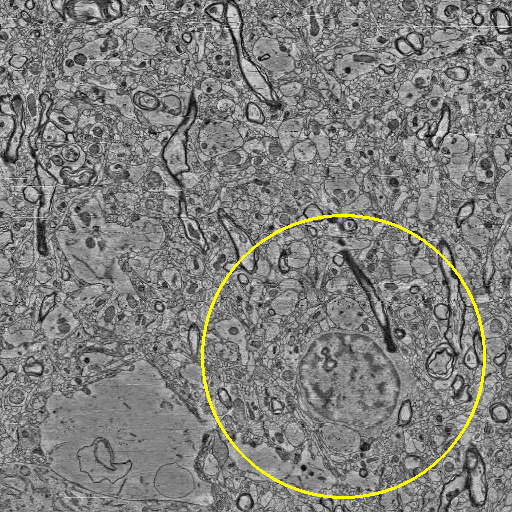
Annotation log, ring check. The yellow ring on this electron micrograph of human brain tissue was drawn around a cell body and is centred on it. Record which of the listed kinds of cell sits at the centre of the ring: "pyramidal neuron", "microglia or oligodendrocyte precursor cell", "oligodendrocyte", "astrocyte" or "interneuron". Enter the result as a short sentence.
The cell at the centre of the ring is an oligodendrocyte.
